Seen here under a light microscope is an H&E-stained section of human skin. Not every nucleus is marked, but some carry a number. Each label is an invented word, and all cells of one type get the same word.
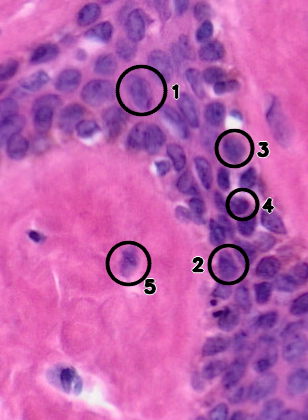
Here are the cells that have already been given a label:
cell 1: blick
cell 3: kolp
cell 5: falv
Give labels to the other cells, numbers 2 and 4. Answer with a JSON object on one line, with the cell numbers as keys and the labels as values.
{"2": "kolp", "4": "kolp"}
